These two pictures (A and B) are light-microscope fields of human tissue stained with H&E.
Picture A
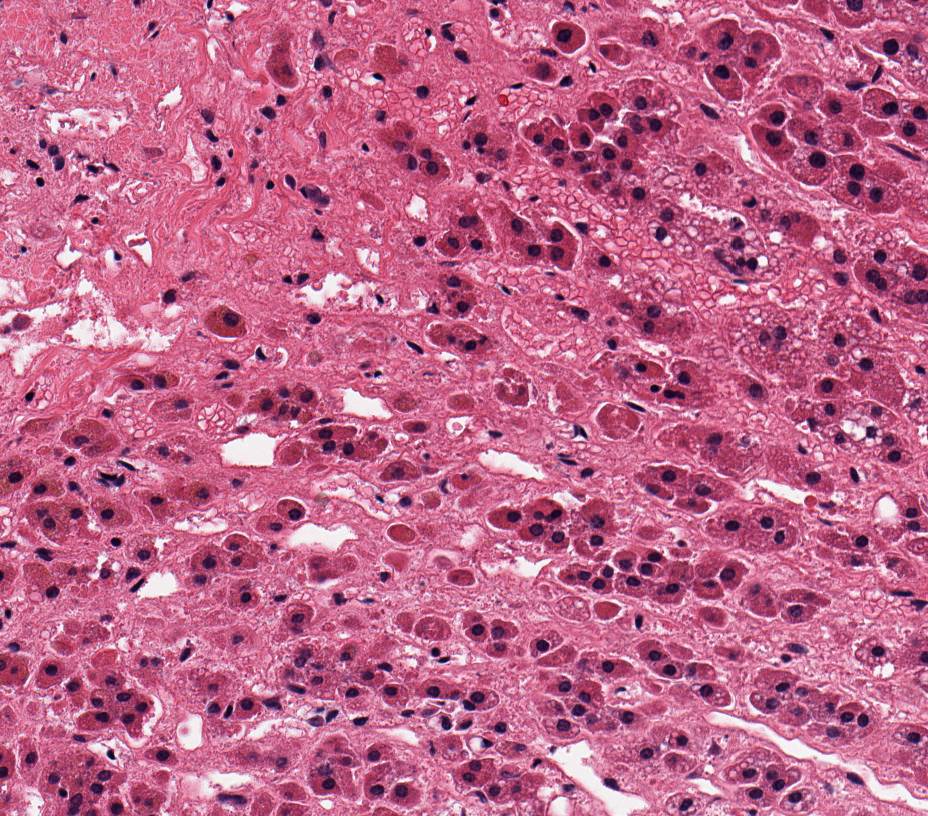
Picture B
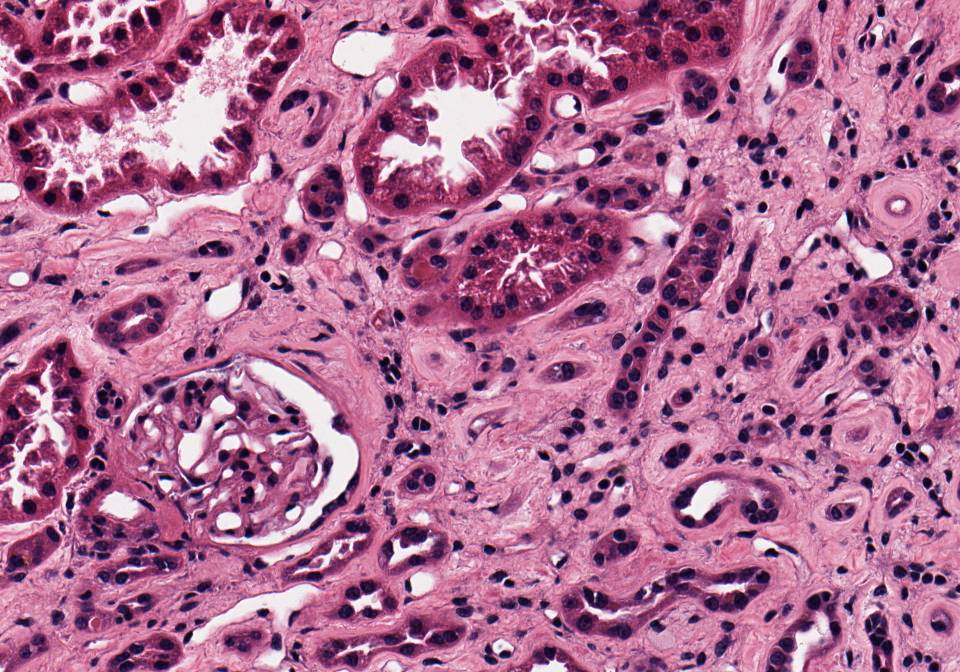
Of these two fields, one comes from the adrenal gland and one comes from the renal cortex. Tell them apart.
A: adrenal gland
B: renal cortex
